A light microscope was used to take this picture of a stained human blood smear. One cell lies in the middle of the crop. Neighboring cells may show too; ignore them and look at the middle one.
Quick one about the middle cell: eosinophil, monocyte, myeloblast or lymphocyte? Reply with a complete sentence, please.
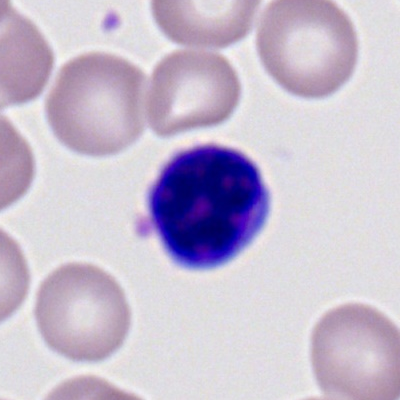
Of the cells in this crop, the central one is a lymphocyte.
